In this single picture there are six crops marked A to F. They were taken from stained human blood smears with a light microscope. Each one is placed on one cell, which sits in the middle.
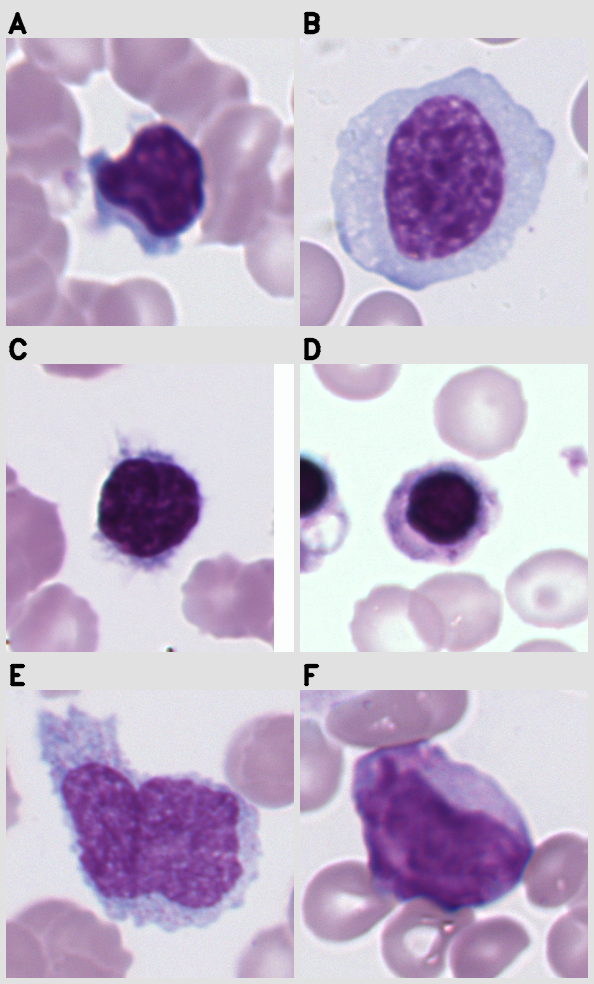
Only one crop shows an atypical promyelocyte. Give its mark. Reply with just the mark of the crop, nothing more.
F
